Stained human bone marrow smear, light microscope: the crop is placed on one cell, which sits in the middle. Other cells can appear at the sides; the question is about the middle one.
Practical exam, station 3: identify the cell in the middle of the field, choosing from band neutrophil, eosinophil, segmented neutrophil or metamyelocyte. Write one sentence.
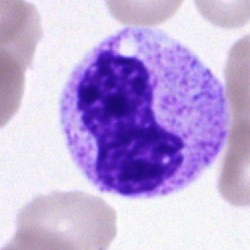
Centrally within this crop lies a band neutrophil.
